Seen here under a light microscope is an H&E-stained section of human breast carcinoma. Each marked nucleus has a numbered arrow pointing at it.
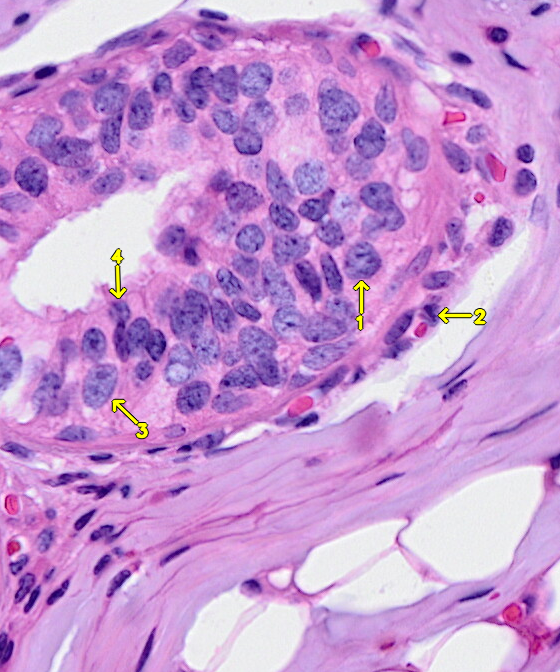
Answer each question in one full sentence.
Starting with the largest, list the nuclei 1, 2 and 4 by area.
By area, largest first, they run 1, 4, 2.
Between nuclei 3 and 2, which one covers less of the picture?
It is nucleus 2; nucleus 3 has about 4 times its area.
